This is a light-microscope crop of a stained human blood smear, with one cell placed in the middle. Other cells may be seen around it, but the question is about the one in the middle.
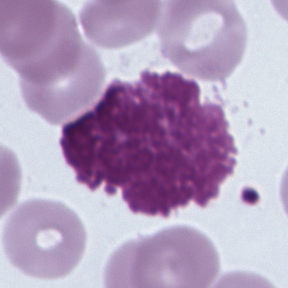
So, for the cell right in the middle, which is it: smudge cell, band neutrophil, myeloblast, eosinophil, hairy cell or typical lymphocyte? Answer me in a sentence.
This crop's central cell is a smudge cell.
